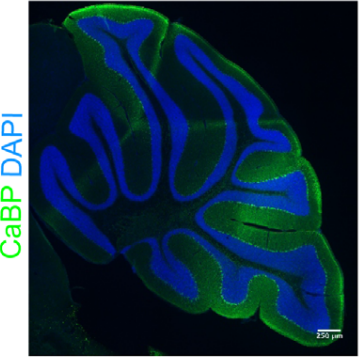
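This is a sagittal section through the cerebellum, folded into many lobules that branch from a central core. In each fold a dense blue band of tightly packed nuclei forms the granular layer, while outside it lies a broad, paler molecular layer tinted green. Along the border between the two runs a thin, beaded green line, the row of Purkinje cell bodies whose dendrites fill the green outer layer. The darker central branches carry few nuclei and correspond to the white matter.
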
